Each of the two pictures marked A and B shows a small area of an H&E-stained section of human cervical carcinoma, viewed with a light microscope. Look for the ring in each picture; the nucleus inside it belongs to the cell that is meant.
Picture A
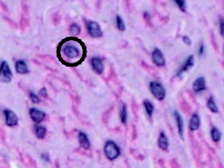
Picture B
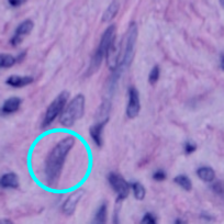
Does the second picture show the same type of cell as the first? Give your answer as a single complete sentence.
Yes, both are smooth muscle cells.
